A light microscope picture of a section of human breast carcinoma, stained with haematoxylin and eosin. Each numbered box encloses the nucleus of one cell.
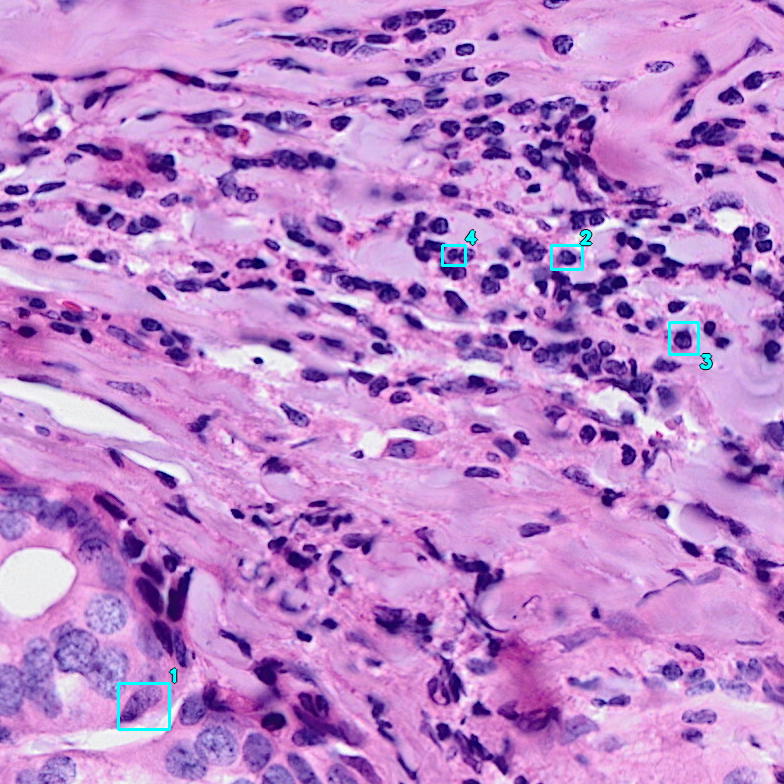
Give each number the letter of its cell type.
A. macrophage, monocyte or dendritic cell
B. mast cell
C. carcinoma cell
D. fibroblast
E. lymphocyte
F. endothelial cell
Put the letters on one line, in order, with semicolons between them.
C; E; E; E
